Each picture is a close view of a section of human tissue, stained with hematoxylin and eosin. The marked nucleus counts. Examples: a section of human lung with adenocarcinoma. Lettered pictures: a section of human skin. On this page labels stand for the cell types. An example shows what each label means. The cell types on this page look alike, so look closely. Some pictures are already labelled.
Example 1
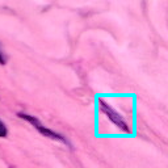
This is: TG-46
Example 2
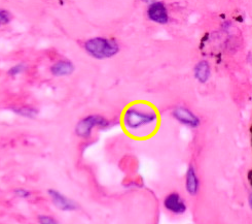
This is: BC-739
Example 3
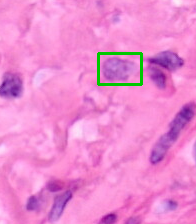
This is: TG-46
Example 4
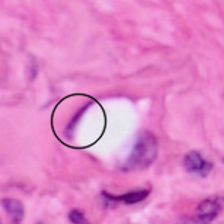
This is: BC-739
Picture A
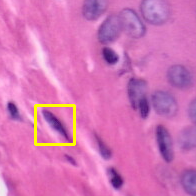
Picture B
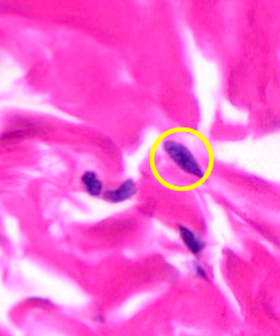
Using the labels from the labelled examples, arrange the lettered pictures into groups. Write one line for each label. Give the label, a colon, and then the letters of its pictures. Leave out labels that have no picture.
TG-46: A, B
